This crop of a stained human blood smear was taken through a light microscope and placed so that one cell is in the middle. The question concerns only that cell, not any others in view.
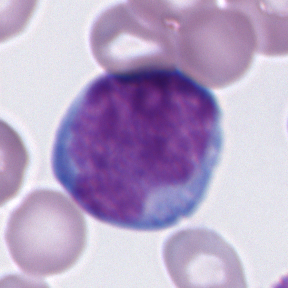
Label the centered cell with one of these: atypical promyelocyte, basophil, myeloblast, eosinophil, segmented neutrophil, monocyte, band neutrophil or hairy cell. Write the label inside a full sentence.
Here the centrally located cell is a myeloblast.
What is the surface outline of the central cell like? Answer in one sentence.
Expected answer: a smooth cell outline without projections of any sort.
